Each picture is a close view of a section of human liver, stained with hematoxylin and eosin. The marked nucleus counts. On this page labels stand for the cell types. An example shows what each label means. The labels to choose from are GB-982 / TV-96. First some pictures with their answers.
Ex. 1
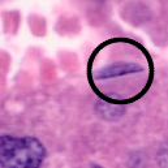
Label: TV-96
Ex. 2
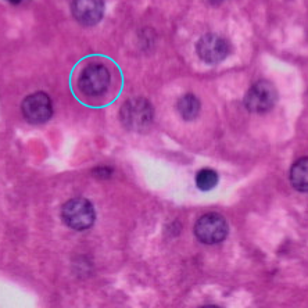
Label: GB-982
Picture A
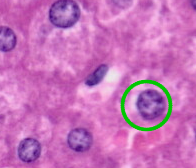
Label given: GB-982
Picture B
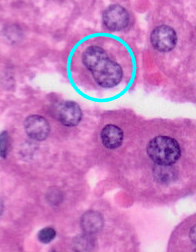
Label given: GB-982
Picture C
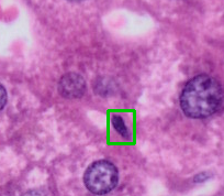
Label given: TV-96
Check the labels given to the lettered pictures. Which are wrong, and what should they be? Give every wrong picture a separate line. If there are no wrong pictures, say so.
All labels are correct.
